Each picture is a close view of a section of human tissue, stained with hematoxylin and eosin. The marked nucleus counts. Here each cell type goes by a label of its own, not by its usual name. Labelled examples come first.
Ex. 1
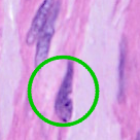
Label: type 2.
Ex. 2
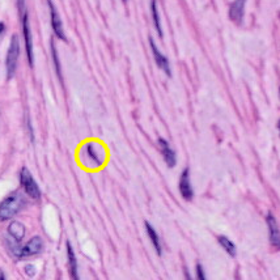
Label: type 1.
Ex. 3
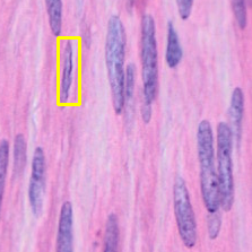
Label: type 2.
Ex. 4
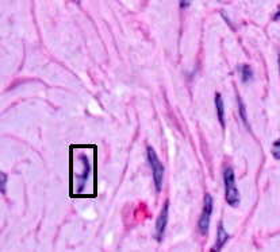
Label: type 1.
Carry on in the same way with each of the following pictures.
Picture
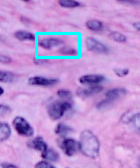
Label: type 2.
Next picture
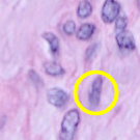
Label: type 2.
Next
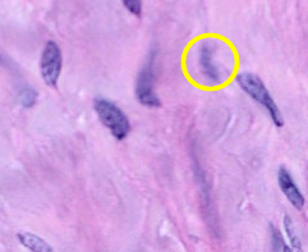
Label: type 1.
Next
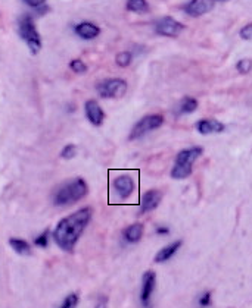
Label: type 2.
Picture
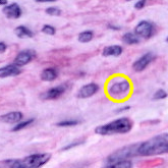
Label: type 2.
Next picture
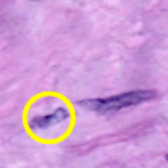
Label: type 1.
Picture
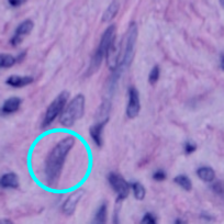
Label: type 2.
